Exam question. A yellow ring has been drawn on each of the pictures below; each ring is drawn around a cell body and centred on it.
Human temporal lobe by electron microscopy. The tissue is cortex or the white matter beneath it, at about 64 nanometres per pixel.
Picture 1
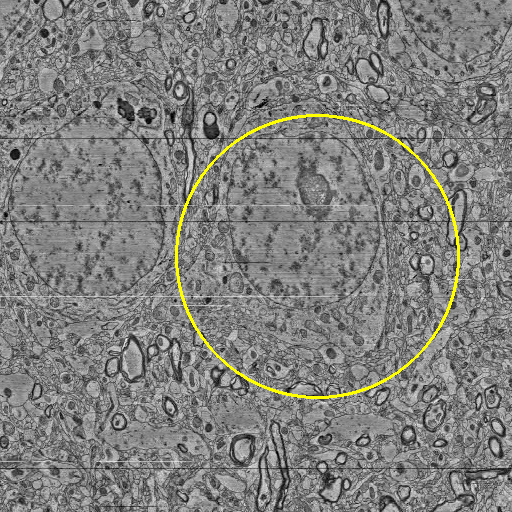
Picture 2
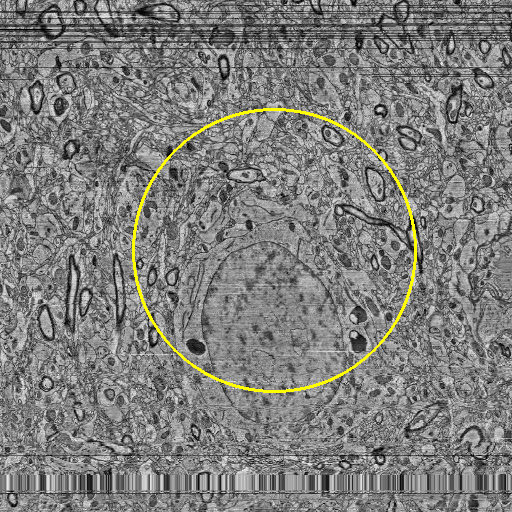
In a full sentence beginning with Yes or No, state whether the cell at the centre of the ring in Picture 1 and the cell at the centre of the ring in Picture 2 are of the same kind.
Yes, the two cells are of the same kind.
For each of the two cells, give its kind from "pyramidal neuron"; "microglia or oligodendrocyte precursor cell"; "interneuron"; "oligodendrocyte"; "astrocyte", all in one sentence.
The first and the second cell are each a pyramidal neuron.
